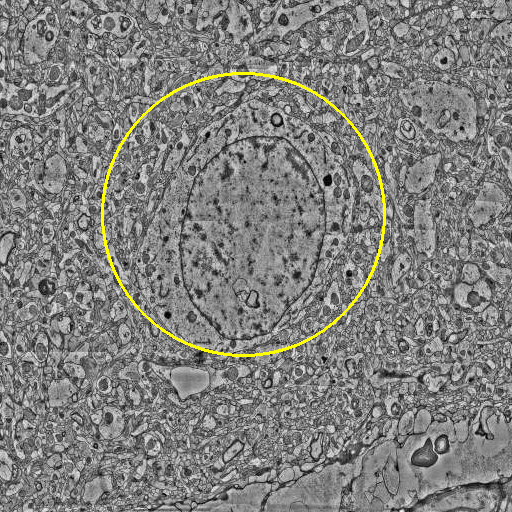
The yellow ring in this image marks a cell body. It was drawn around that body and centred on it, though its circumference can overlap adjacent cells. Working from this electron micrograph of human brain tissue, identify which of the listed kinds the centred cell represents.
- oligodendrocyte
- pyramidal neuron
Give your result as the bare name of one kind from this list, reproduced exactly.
pyramidal neuron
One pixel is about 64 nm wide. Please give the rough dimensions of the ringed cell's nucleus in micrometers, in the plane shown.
In this plane, roughly 13 by 9 micrometres.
